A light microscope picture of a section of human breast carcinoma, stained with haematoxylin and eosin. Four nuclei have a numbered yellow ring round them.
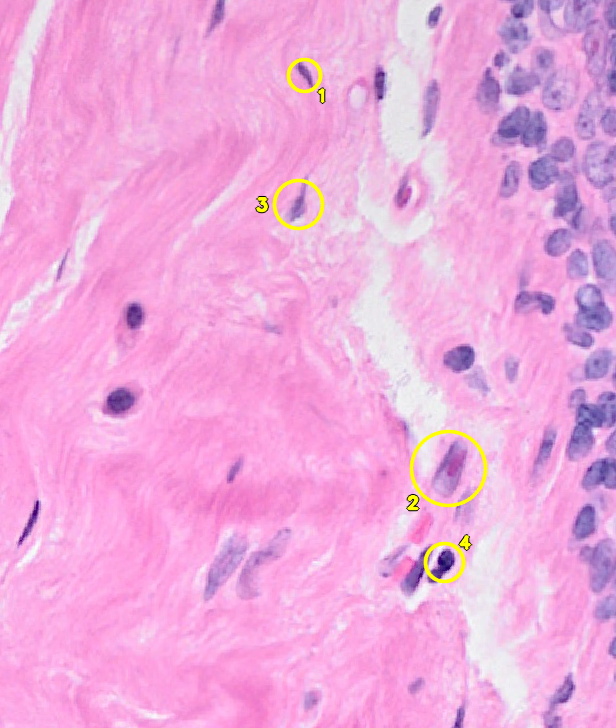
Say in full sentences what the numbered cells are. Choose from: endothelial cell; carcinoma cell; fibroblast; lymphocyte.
Cells 1 and 3 are fibroblasts. Cell 2 is an endothelial cell. Cell 4 is a lymphocyte.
